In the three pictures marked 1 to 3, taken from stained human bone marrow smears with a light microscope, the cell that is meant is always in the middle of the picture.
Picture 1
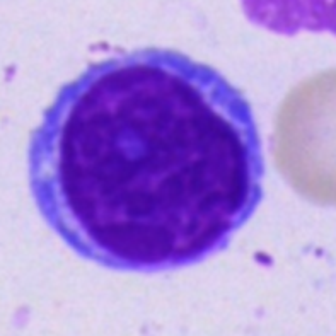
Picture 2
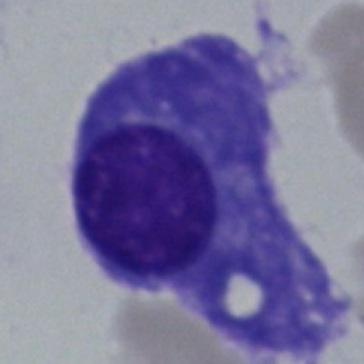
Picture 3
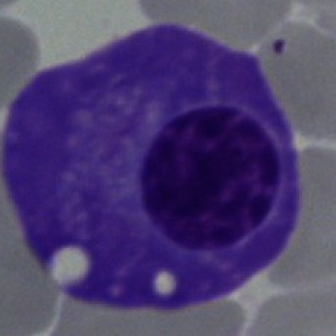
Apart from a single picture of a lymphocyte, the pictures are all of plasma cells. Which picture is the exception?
1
